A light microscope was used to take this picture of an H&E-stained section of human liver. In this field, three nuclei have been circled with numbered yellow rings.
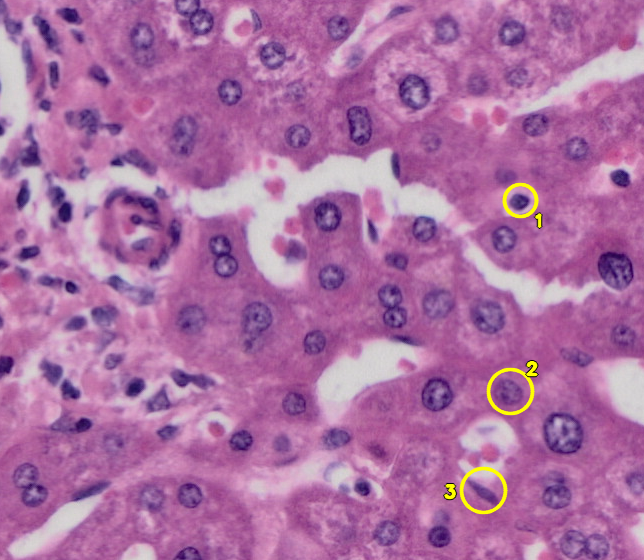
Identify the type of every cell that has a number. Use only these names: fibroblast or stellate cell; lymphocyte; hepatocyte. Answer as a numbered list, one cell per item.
1. lymphocyte
2. hepatocyte
3. fibroblast or stellate cell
